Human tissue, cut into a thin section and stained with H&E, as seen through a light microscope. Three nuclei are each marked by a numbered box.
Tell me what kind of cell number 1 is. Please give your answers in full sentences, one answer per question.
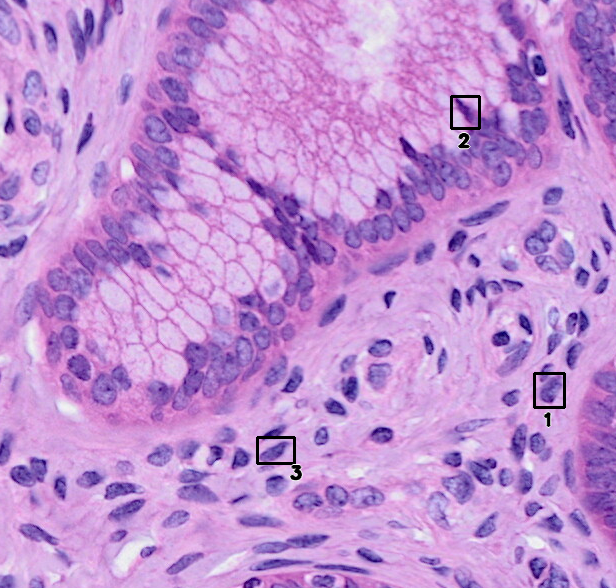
The marked nucleus 1 is that of a fibroblast.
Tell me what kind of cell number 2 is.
The marked cell bearing number 2 is a secretory epithelial cell.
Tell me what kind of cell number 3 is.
The marked nucleus 3 is that of a fibroblast.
